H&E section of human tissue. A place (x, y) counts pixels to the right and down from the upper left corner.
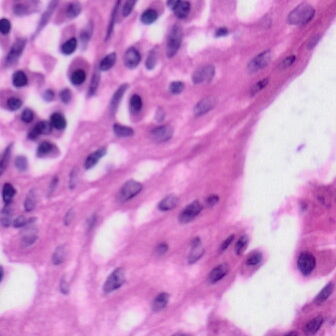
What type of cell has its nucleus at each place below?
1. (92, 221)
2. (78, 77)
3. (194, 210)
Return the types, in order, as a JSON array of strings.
["squamous epithelial cell", "plasma cell", "squamous epithelial cell"]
